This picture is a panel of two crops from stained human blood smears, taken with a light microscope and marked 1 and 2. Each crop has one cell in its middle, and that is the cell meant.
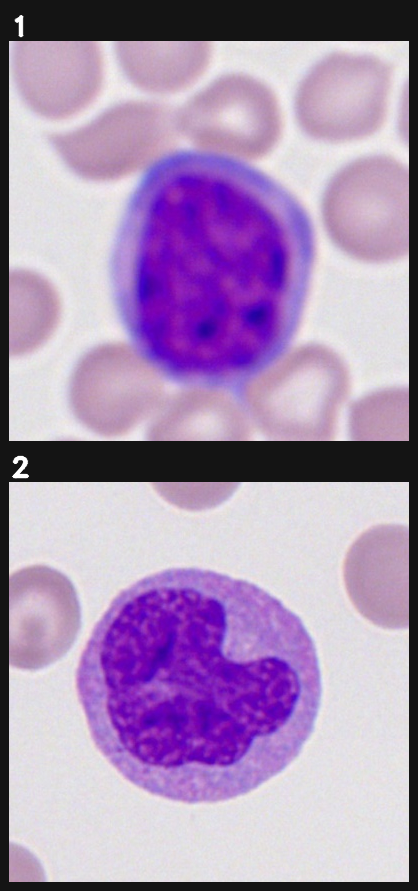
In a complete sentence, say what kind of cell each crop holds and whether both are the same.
Yes, that is right, both crops show monocytes.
